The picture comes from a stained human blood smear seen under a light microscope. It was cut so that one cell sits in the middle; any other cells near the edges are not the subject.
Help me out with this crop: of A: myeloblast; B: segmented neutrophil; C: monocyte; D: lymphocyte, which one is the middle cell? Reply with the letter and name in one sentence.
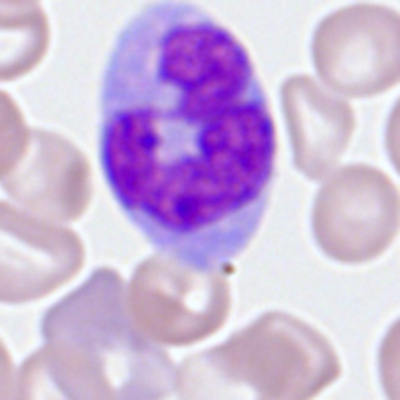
At the centre of the crop lies a monocyte, which makes option C correct.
